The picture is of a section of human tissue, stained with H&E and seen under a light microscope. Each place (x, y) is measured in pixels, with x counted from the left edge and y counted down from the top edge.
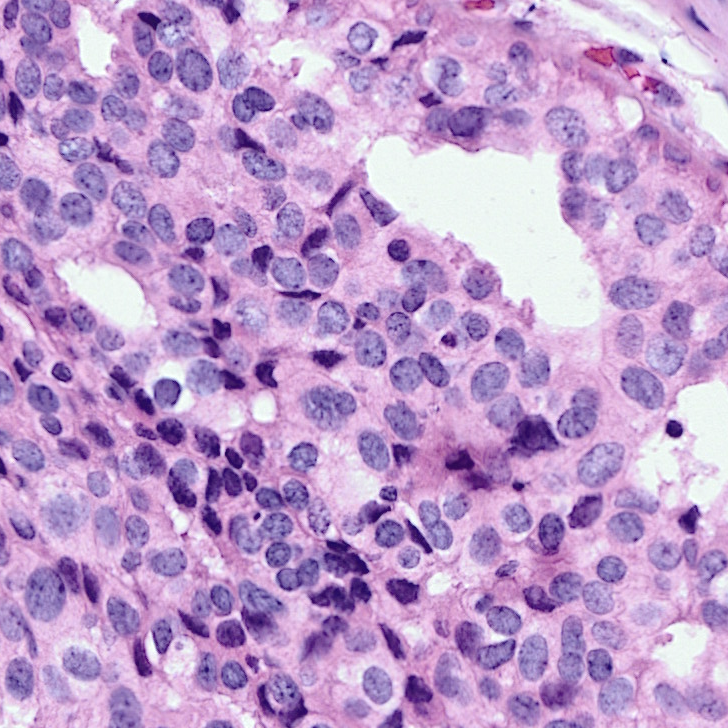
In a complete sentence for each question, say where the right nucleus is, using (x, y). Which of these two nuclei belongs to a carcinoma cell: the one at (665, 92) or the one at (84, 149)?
That would be the nucleus at (84, 149); it belongs to a carcinoma cell.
